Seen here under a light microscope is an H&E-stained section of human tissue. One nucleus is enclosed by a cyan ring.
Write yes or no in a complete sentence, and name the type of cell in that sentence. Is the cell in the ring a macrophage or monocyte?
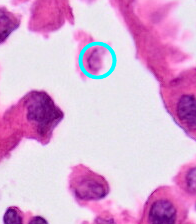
Yes, the cell in the ring is correctly named as a macrophage or monocyte.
